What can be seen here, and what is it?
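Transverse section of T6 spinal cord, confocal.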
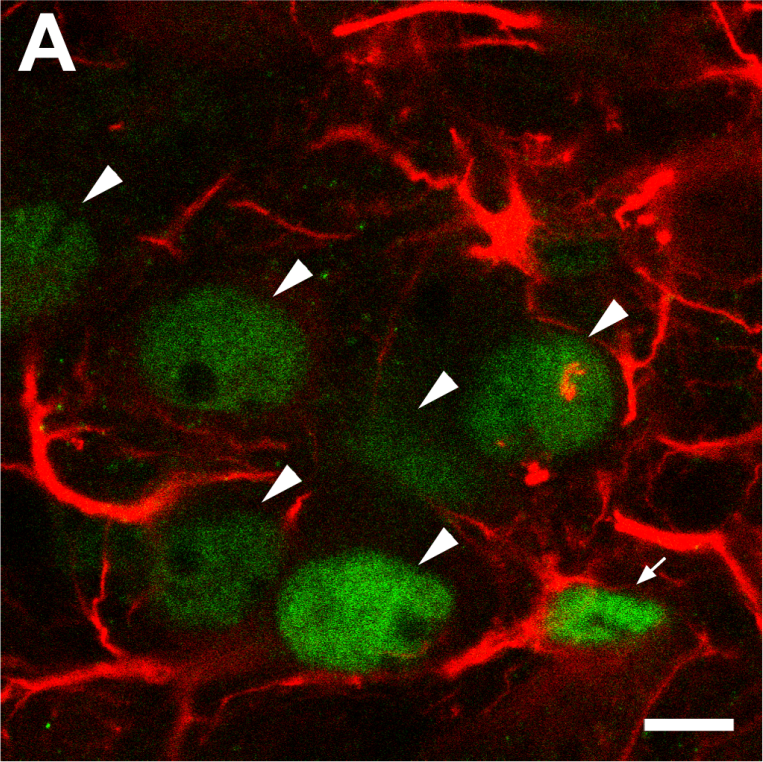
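A cluster of large, round to oval green nuclei, several with a dark nucleolus, lies in a field crossed by thin, wavy red fibres that do not wrap around these nuclei. Off to one side, a much smaller, slender green nucleus sits directly against thick red fibrous processes. The large round nuclei belong to neurons, while the small slender nucleus hugged by red fibres belongs to a neuroglial cell.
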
